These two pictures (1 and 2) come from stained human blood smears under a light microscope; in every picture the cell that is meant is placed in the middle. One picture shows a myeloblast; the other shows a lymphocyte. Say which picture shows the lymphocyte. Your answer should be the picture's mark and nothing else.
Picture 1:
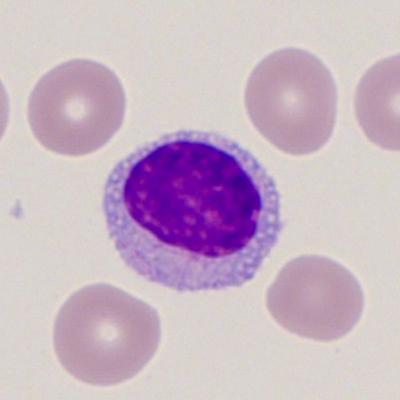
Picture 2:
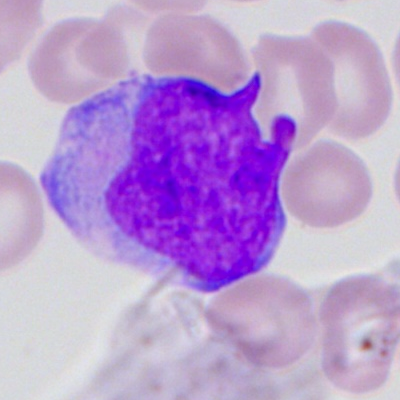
1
